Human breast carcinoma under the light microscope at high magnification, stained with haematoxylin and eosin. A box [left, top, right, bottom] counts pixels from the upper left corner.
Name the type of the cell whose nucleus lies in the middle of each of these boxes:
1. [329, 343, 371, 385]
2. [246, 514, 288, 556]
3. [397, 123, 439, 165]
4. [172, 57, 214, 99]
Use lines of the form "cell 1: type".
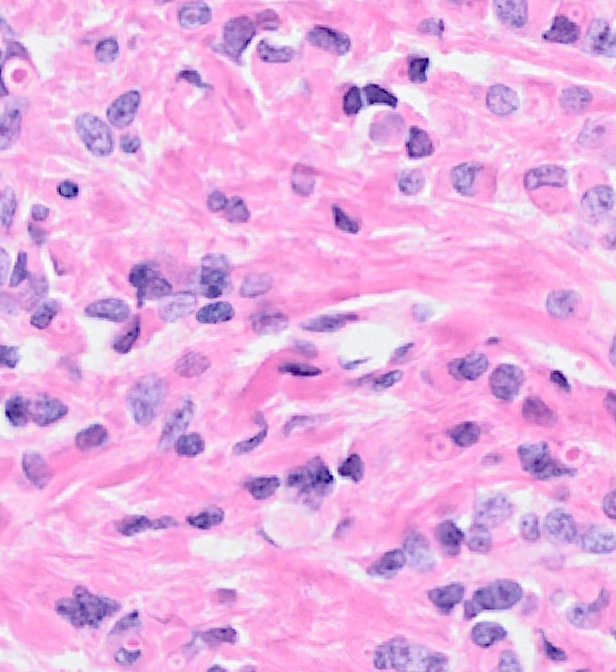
cell 1: endothelial cell
cell 2: fibroblast
cell 3: carcinoma cell
cell 4: fibroblast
